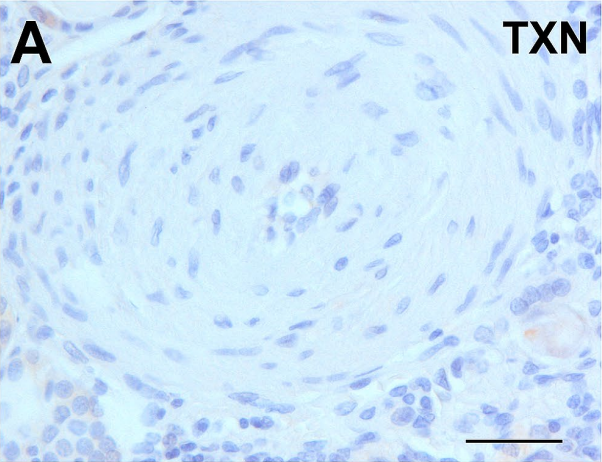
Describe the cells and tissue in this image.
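A thick ring of elongated cells with spindle-shaped nuclei is arranged in concentric layers around a small central lumen, with pale fibrous material between them and almost no brown staining. Around the ring lie more crowded round and oval nuclei of the surrounding tissue. This is a thick-walled artery cut across, with its wall cells unstained.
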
